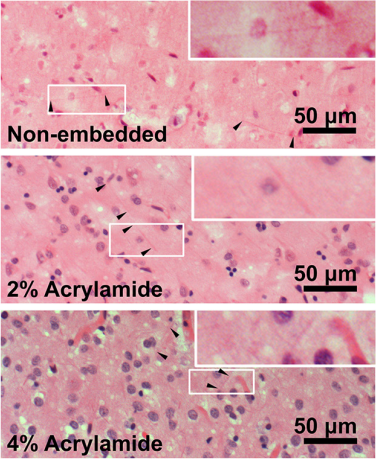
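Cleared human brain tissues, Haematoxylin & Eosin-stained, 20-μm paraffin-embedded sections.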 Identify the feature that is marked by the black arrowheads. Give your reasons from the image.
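The arrowheads point to thin, elongated, pink-staining threads running through the tissue. The threads are much narrower than the nearby round purple nuclei.
Hence: Fine neural fibers.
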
